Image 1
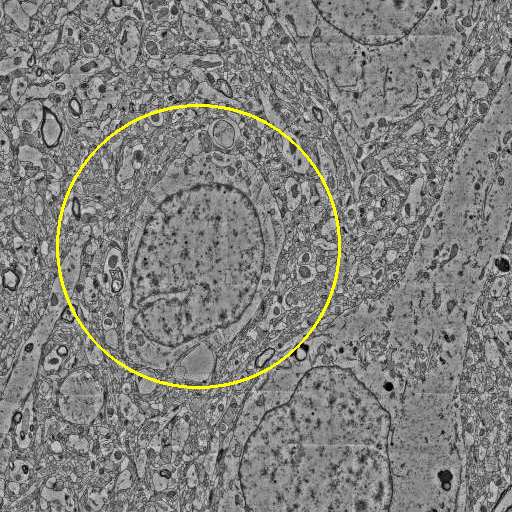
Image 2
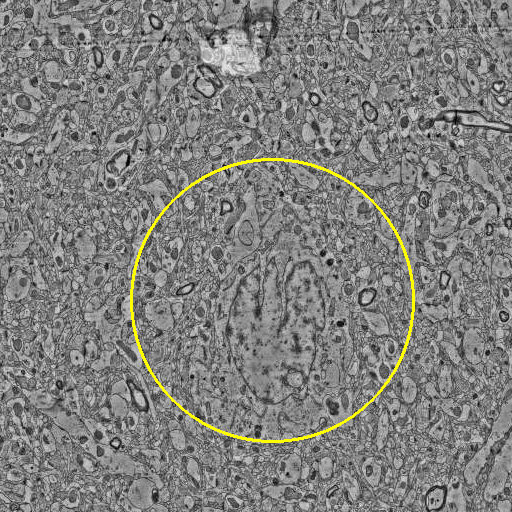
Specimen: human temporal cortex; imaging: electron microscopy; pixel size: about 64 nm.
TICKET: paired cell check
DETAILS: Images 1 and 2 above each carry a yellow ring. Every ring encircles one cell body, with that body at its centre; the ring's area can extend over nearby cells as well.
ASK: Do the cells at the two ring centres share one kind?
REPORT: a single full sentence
Yes, the ring-centre cells of Images 1 and 2 belong to a single kind.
